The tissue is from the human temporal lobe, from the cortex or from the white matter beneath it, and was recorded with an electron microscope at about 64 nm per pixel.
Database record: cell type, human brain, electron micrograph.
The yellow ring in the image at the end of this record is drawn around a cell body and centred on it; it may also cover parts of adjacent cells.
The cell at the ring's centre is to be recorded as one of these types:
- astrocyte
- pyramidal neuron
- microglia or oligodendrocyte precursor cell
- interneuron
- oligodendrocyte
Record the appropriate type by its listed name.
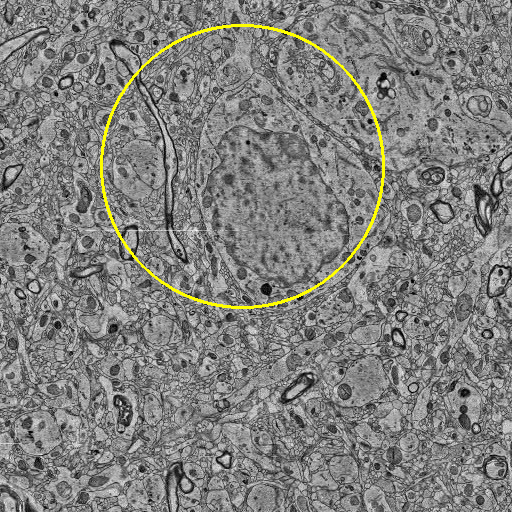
interneuron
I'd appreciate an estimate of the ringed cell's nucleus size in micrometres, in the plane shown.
In this plane, roughly 11 by 8 micrometres.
